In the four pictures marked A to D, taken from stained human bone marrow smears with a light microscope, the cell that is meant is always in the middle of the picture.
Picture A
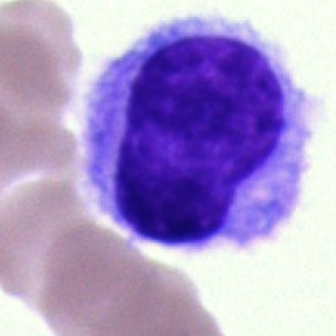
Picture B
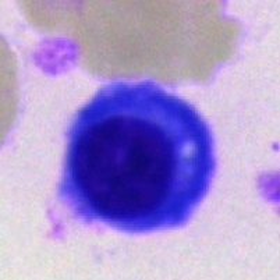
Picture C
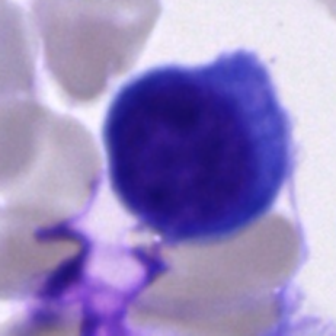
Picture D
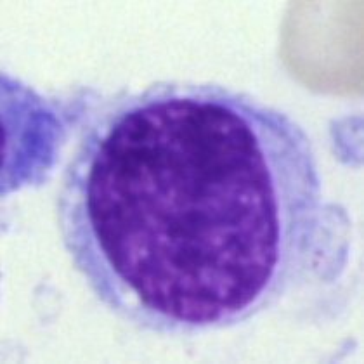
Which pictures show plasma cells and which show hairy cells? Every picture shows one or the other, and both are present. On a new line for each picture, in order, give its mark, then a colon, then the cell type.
A: hairy cell
B: plasma cell
C: plasma cell
D: hairy cell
